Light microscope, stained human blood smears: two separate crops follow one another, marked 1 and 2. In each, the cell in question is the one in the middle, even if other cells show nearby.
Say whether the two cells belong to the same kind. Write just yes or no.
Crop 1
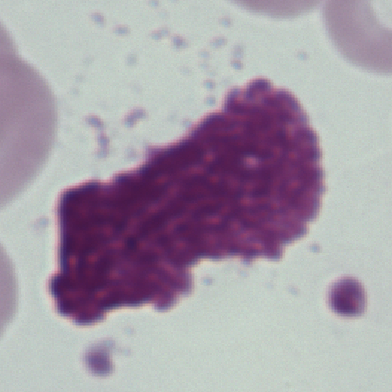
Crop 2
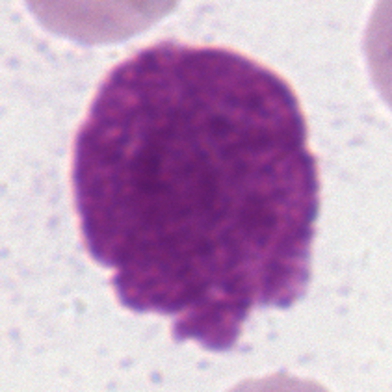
yes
